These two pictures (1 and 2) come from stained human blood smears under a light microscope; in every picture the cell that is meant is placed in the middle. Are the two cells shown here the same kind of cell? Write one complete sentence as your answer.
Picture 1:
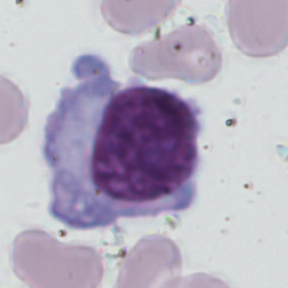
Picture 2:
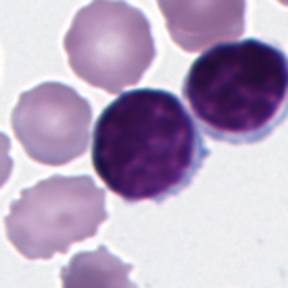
No. Picture 1 shows a plasma cell, but picture 2 shows a typical lymphocyte.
